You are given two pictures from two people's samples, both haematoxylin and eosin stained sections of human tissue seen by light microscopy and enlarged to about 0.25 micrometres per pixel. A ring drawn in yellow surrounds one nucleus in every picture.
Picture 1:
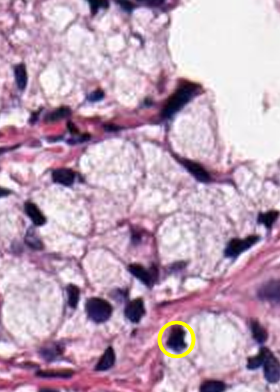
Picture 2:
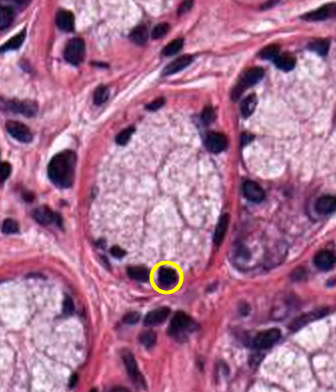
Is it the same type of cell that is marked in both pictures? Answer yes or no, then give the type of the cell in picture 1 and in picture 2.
Yes, both are mucous gland cells.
